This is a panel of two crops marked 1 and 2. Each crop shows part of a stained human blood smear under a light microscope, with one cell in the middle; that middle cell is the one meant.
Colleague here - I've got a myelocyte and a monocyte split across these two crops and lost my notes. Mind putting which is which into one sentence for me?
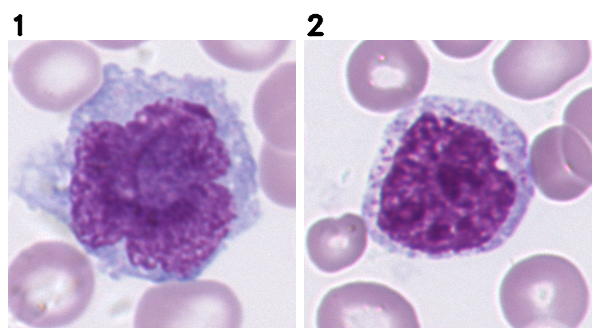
The central cell of crop 1 is a monocyte, and that of crop 2 is a myelocyte.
